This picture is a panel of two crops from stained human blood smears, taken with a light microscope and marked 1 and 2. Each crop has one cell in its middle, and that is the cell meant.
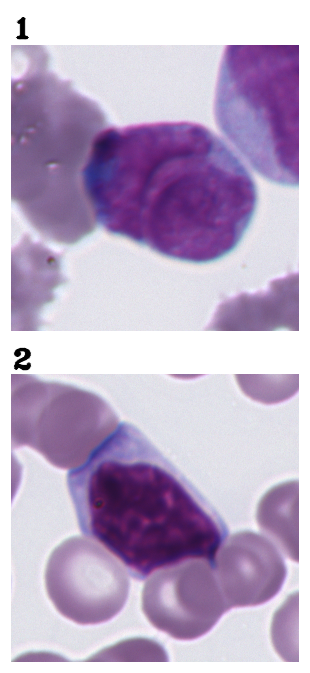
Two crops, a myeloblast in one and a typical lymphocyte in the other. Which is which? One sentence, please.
Crop 1 is a myeloblast; crop 2, on the other hand, is a typical lymphocyte.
